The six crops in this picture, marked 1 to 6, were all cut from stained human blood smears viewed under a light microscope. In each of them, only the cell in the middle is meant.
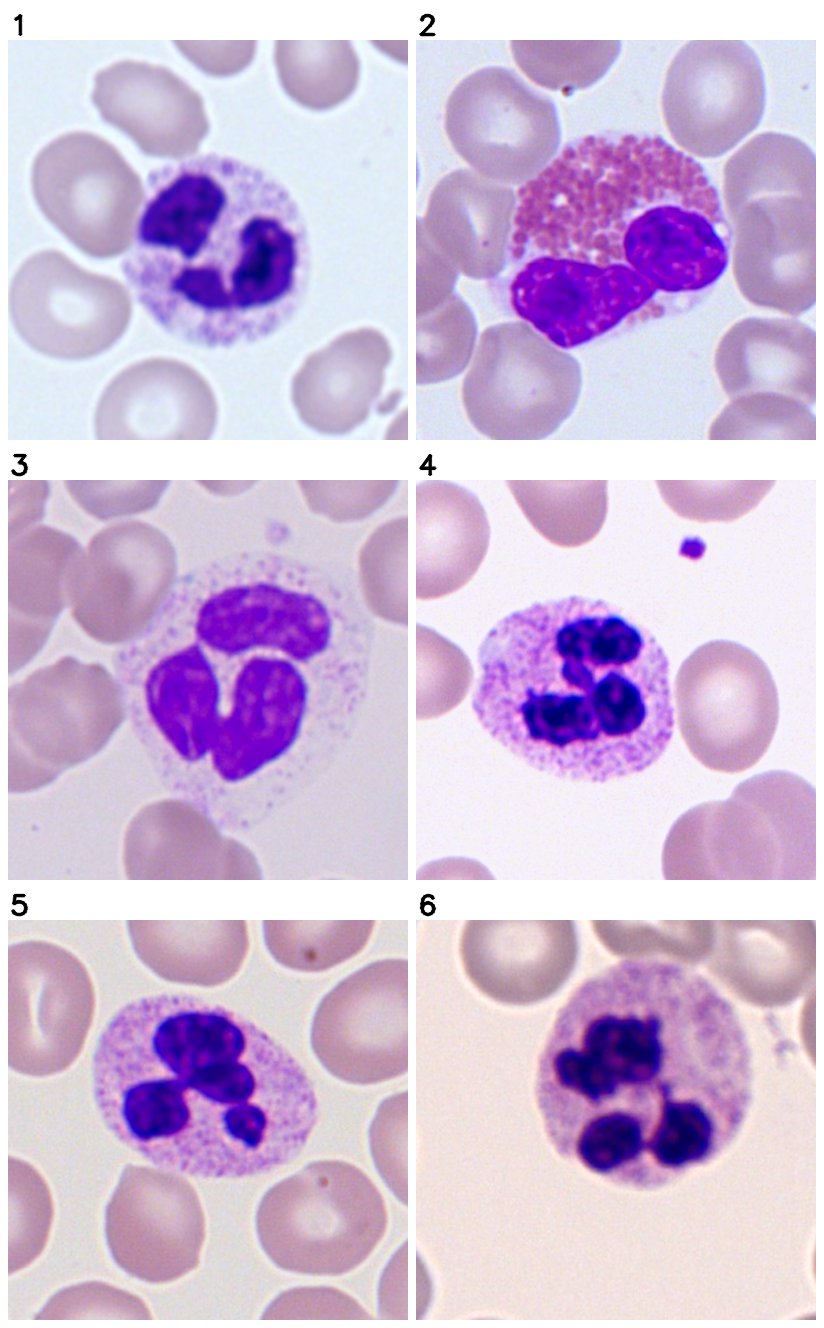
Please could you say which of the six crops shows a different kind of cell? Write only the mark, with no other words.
2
